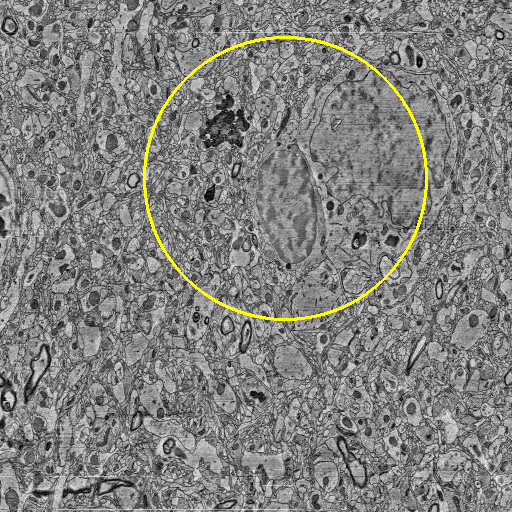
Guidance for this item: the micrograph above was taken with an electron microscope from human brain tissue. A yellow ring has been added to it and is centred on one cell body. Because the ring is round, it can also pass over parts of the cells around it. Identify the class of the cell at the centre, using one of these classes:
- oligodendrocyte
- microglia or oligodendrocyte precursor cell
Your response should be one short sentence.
The ring surrounds the body of an oligodendrocyte.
